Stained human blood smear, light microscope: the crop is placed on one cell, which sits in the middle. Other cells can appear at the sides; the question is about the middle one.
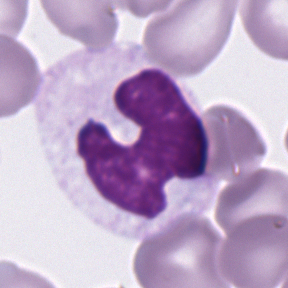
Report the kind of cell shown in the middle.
band neutrophil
